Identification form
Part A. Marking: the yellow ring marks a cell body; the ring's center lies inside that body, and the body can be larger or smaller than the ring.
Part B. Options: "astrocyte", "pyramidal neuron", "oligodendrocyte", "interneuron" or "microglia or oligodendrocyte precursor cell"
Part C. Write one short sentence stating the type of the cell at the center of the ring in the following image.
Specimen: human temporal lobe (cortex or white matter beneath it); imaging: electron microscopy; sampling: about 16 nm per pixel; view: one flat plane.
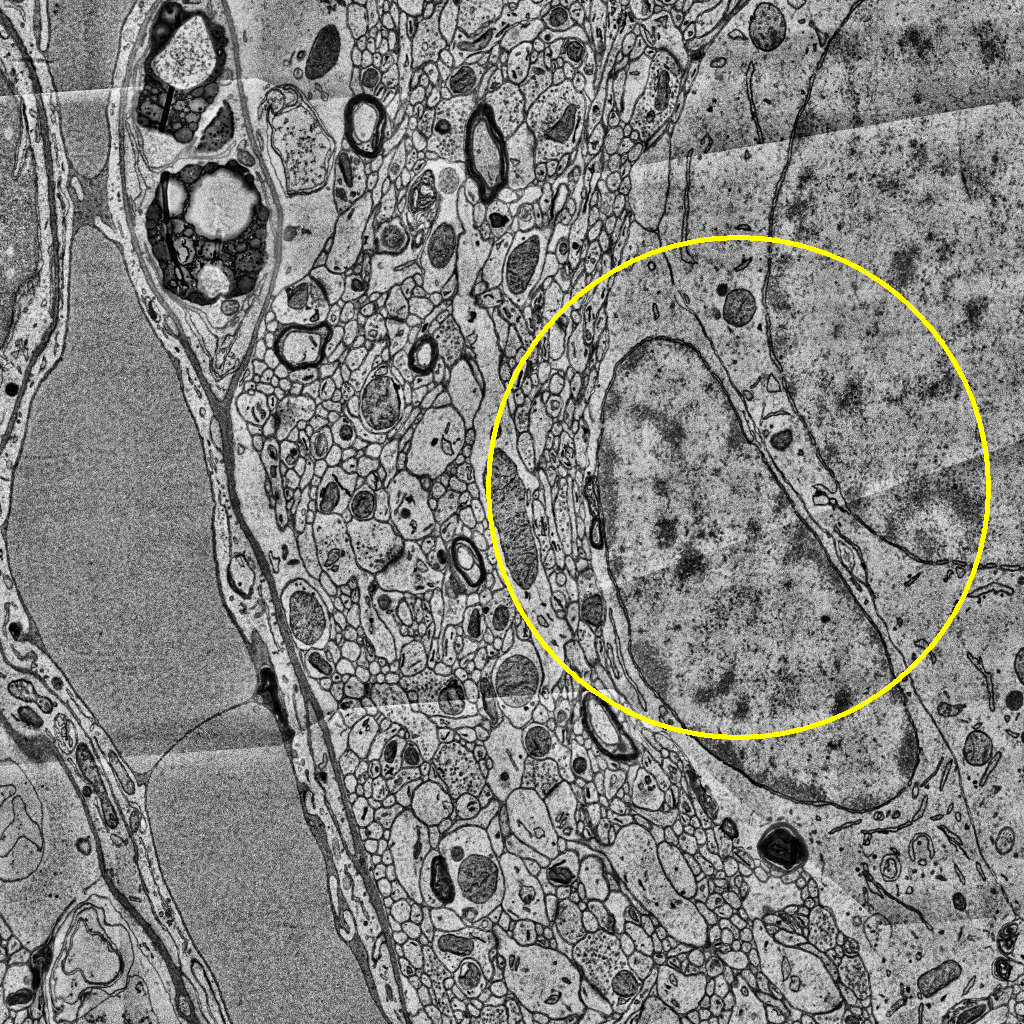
The center of the ring holds a microglial cell or oligodendrocyte precursor cell.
